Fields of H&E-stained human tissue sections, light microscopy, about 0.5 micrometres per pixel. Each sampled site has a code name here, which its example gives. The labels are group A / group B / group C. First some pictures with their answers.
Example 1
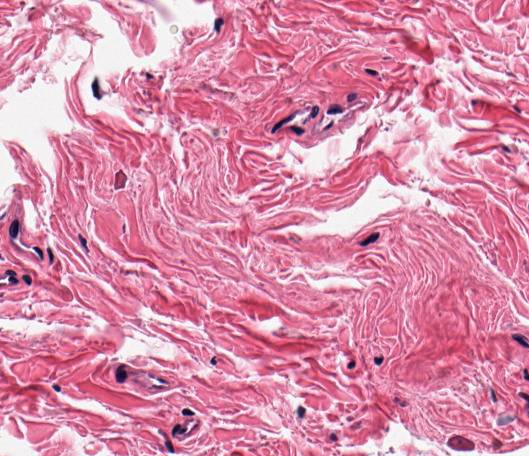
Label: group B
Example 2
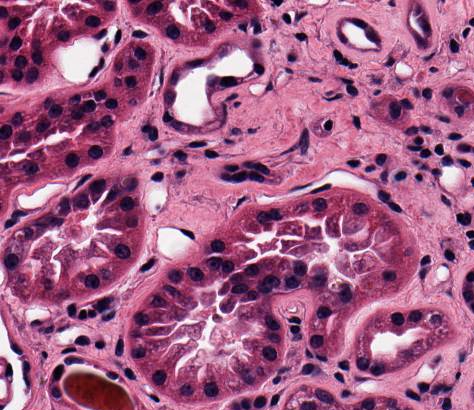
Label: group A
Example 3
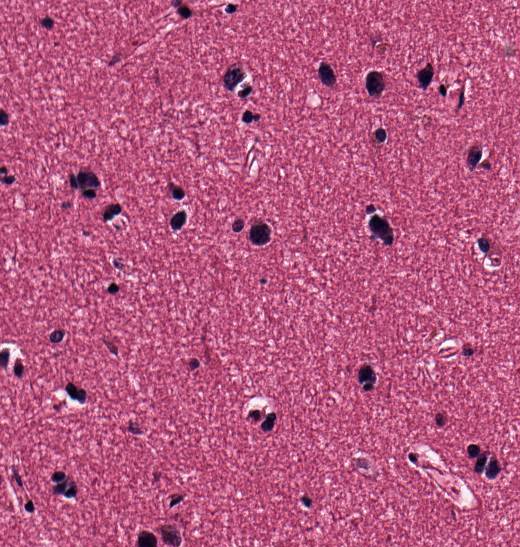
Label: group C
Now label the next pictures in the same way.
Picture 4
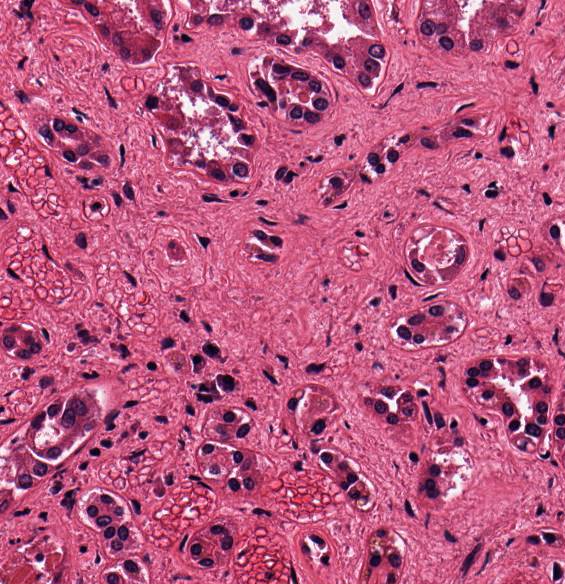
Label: group A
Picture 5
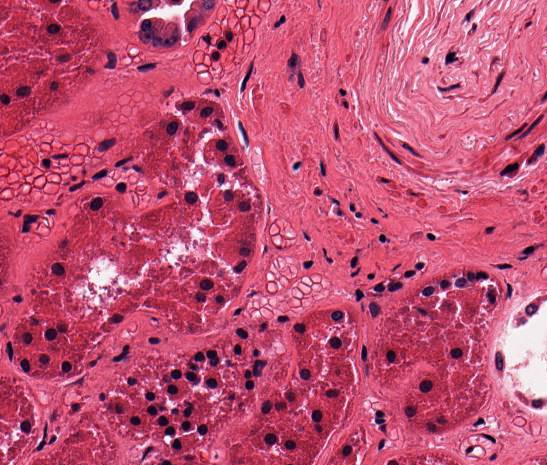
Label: group A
